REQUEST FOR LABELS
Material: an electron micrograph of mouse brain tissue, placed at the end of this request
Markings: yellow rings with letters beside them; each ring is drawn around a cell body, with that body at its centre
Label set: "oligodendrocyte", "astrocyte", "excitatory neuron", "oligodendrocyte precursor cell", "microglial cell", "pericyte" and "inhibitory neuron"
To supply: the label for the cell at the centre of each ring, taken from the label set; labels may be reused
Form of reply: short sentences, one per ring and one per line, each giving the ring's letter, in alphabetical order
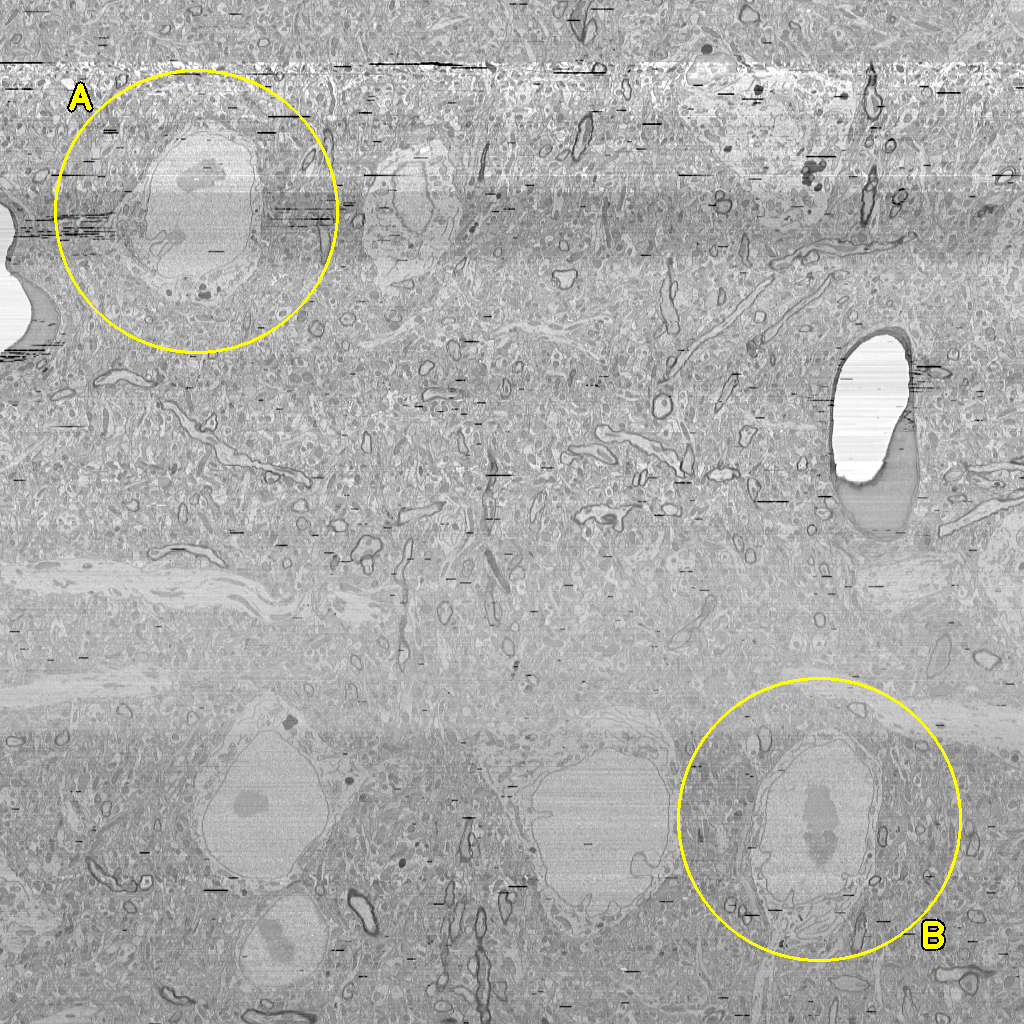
Ring A: the cell in the middle is an excitatory neuron.
Ring B: the cell in the middle is an inhibitory neuron.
